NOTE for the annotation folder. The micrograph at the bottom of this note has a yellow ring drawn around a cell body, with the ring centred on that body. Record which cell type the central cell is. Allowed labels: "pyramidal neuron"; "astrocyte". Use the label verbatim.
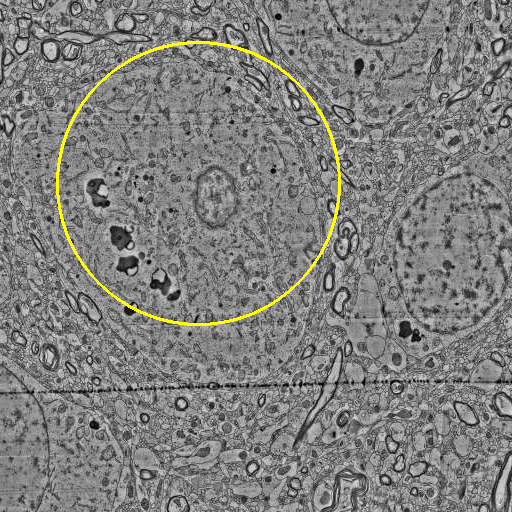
pyramidal neuron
